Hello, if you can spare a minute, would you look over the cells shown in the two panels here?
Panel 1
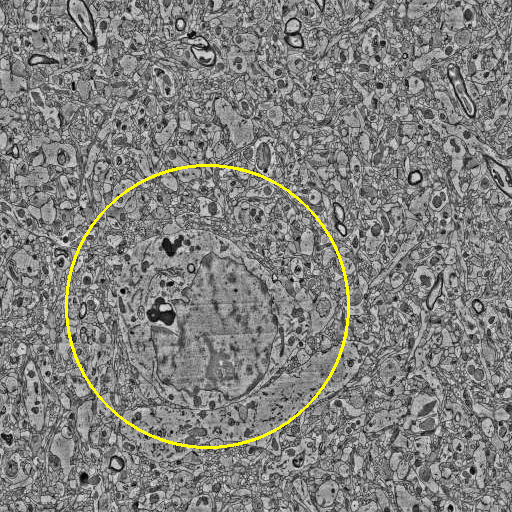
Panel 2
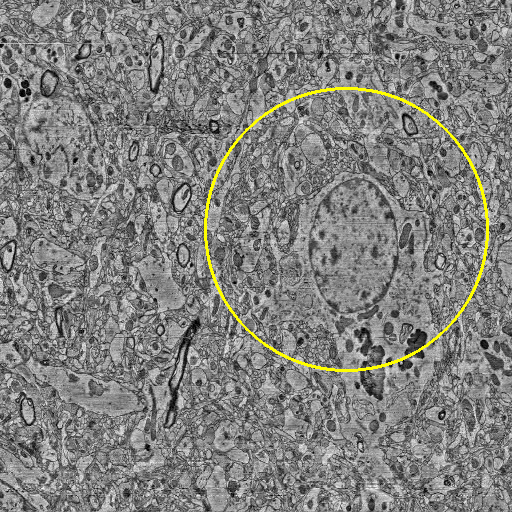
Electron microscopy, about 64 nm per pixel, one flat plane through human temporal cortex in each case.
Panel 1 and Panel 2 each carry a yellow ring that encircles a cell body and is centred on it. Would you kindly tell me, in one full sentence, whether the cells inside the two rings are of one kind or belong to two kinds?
The cells at the centres of the rings in Panel 1 and Panel 2 belong to two kinds.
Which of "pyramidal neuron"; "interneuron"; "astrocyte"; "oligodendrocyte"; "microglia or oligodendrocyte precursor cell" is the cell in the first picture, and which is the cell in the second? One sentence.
The two differ: the first cell is an interneuron and the second is an astrocyte.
